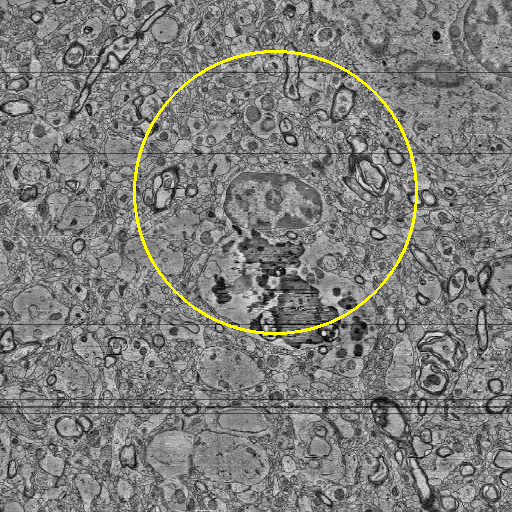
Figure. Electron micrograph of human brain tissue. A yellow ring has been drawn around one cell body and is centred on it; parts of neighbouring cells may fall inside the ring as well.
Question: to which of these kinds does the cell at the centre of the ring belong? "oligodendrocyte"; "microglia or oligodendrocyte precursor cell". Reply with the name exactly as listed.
microglia or oligodendrocyte precursor cell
